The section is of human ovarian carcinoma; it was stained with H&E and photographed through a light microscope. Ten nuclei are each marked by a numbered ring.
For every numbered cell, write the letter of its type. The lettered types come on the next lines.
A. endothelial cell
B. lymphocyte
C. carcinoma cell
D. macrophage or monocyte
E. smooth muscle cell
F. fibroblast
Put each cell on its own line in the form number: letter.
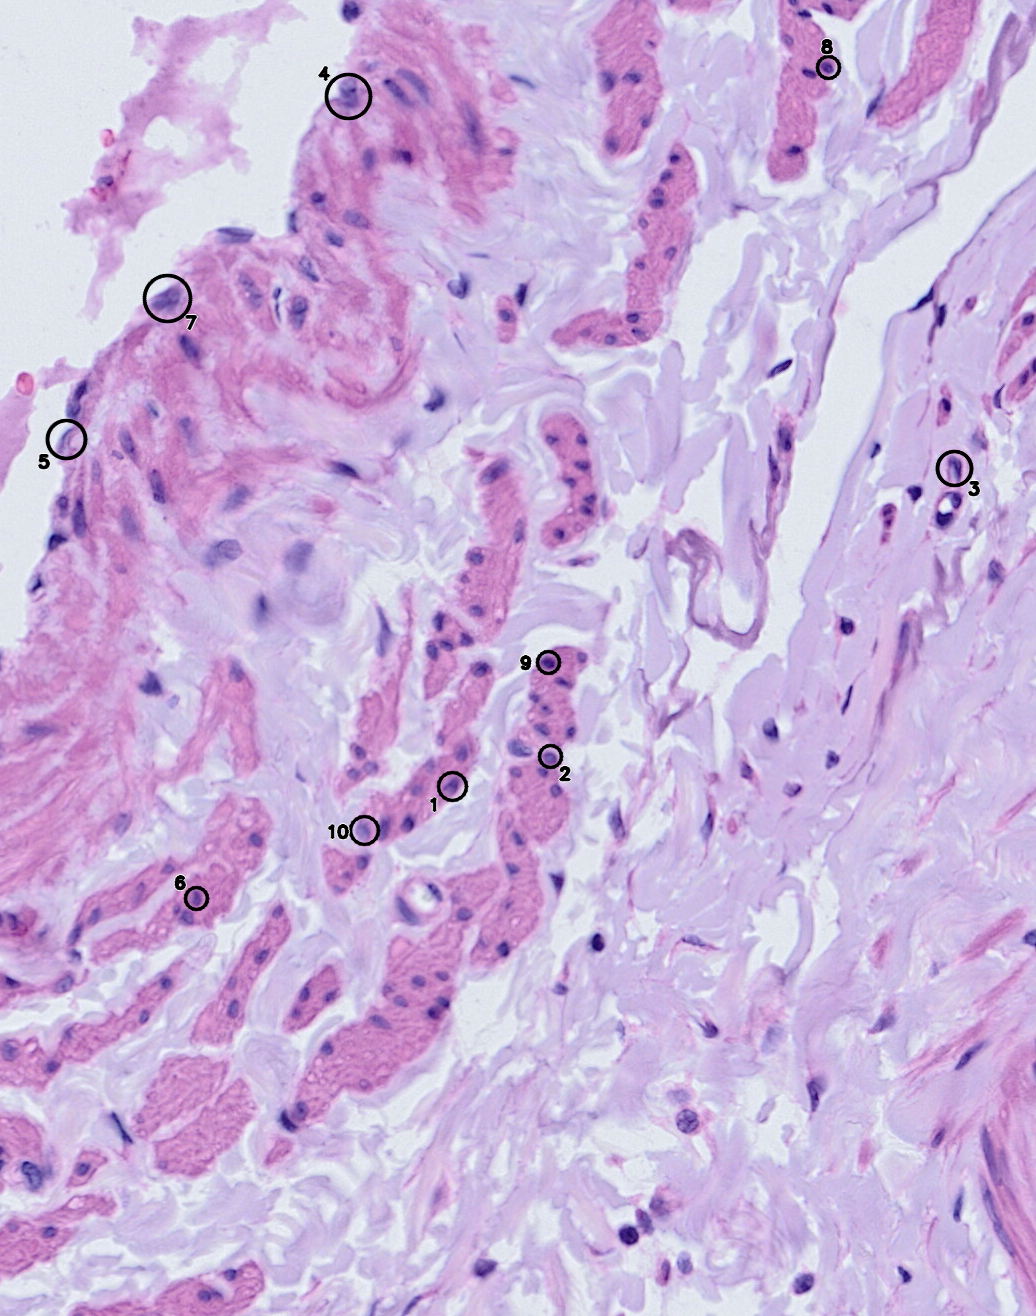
1: E
2: E
3: A
4: A
5: A
6: E
7: A
8: E
9: E
10: E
